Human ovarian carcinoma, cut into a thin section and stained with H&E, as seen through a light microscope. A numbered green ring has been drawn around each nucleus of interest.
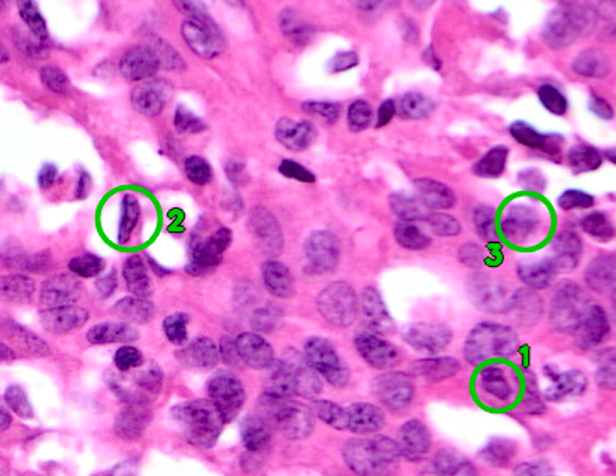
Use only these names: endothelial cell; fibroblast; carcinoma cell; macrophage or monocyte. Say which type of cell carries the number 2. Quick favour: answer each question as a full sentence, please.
The cell bearing label 2 corresponds to a macrophage or monocyte.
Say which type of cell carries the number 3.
The one labeled 3 is a carcinoma cell, to put it simply.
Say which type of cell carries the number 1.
In this section, number 1 marks a carcinoma cell.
